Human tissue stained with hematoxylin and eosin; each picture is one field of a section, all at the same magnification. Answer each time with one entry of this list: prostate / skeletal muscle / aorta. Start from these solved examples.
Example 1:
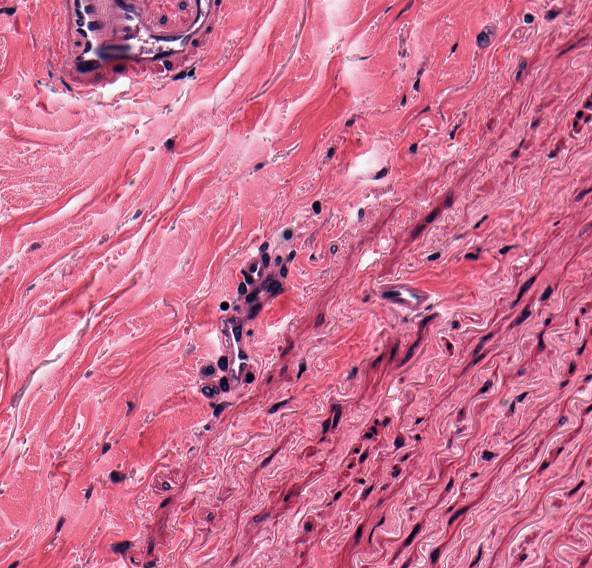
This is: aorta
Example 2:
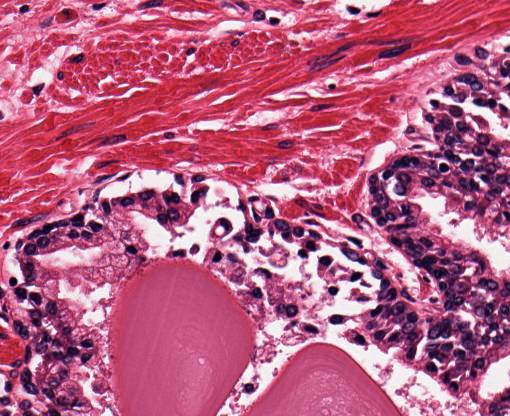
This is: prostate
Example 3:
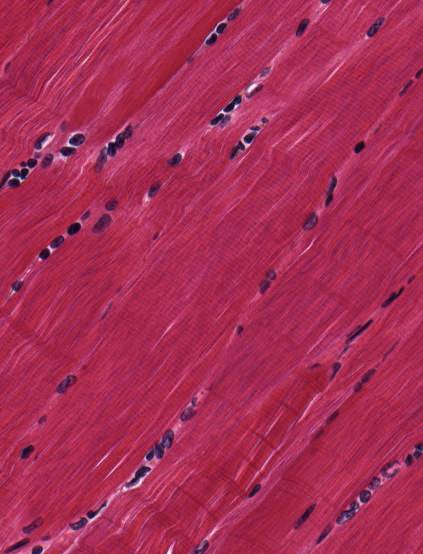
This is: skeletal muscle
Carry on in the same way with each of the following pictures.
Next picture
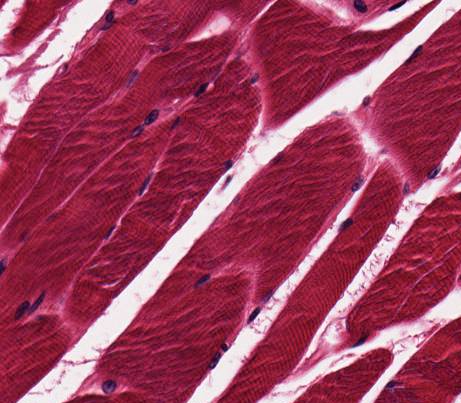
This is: skeletal muscle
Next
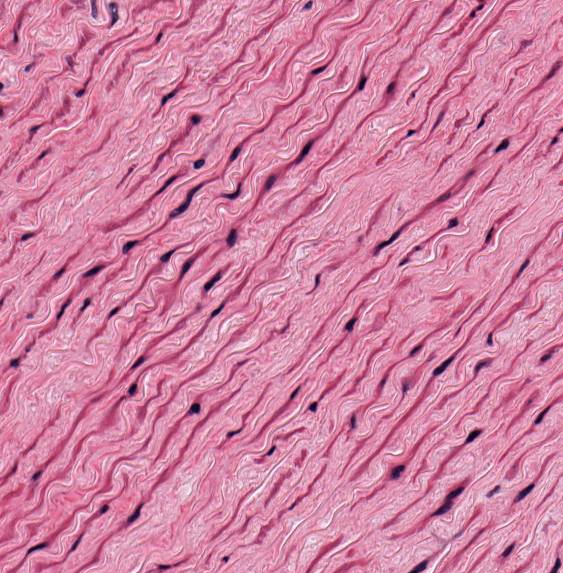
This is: aorta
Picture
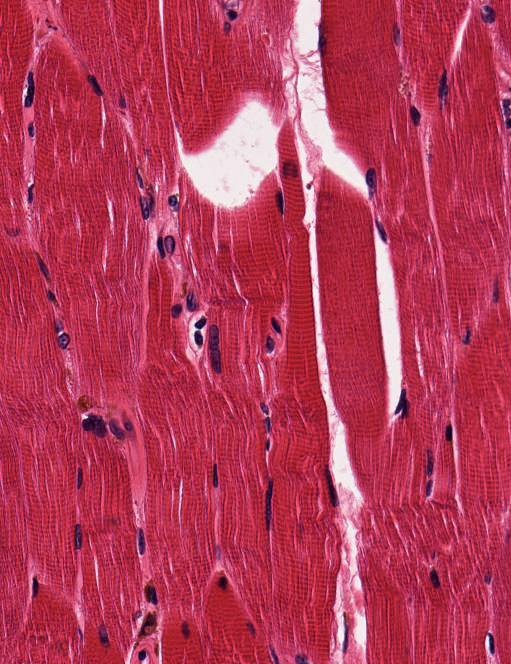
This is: skeletal muscle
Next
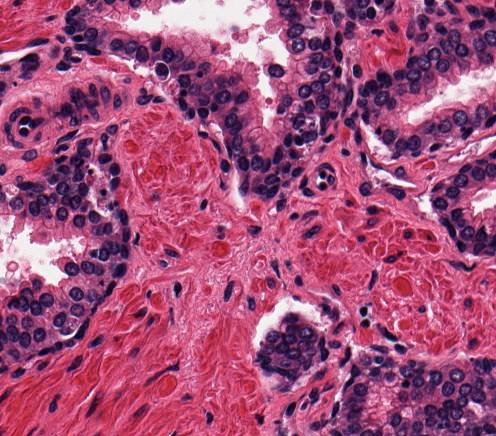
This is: prostate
